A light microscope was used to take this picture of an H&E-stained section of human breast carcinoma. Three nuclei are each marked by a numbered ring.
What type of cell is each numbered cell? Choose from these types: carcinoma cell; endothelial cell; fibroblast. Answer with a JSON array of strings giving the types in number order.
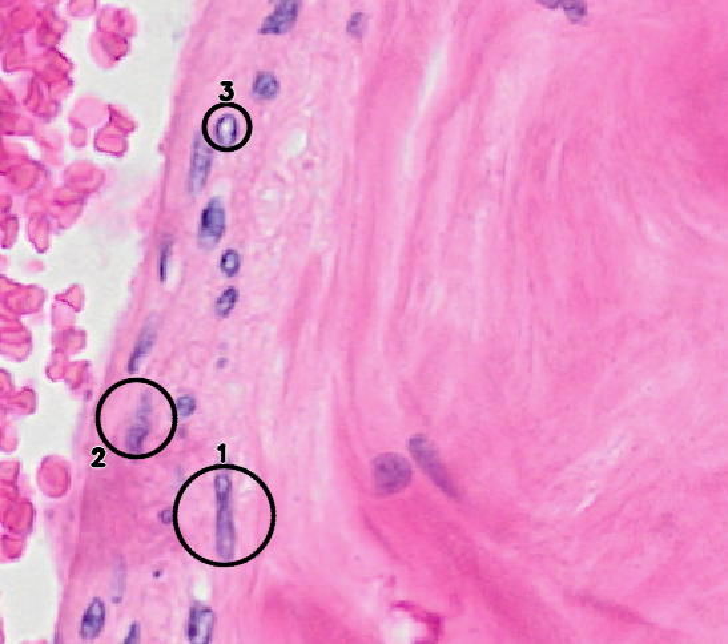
["fibroblast", "endothelial cell", "endothelial cell"]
